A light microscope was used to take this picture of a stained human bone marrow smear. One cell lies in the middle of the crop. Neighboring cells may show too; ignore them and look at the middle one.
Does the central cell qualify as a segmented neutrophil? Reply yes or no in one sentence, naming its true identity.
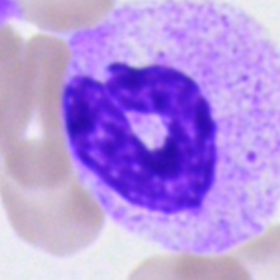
Yes, the middle cell is properly termed a segmented neutrophil.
